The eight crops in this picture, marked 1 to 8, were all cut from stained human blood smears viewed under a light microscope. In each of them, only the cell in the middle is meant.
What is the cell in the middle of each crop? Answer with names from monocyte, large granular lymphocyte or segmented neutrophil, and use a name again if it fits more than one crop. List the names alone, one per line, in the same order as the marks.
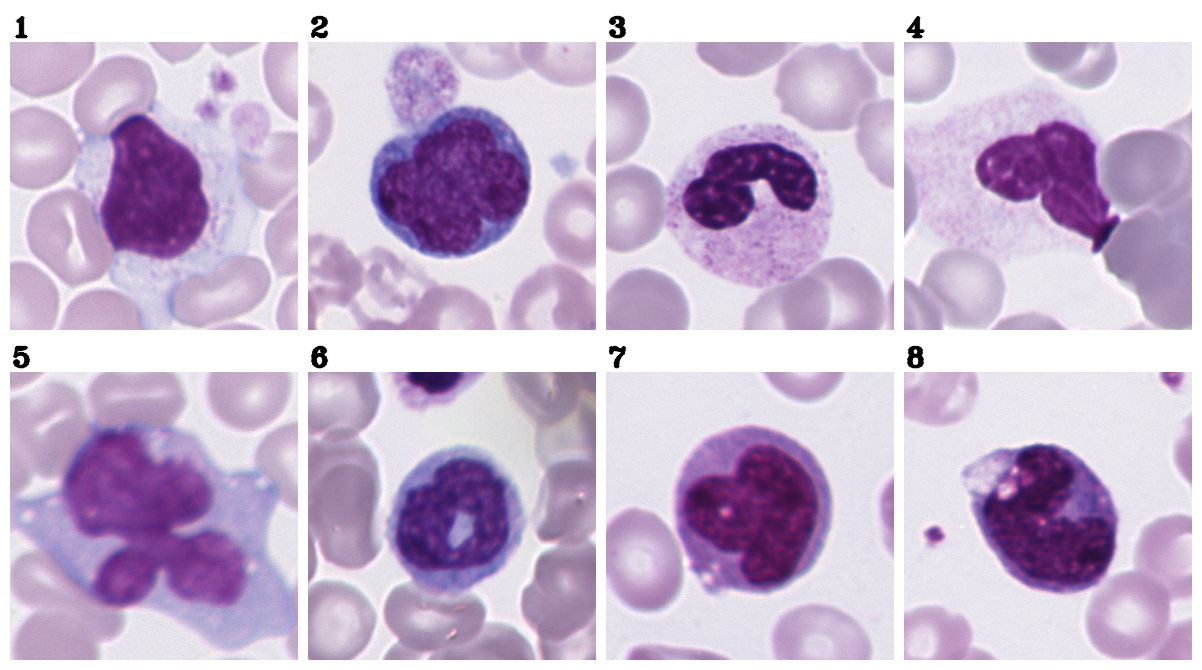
large granular lymphocyte
monocyte
segmented neutrophil
segmented neutrophil
monocyte
monocyte
monocyte
monocyte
